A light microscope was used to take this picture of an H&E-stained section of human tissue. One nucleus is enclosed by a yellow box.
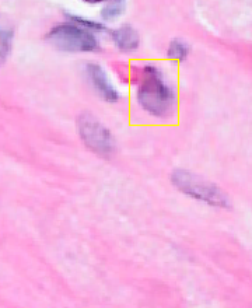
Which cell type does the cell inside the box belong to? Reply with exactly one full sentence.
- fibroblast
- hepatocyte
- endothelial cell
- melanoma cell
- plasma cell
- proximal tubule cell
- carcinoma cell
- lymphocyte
Within this tissue, the cell inside the box is an endothelial cell.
